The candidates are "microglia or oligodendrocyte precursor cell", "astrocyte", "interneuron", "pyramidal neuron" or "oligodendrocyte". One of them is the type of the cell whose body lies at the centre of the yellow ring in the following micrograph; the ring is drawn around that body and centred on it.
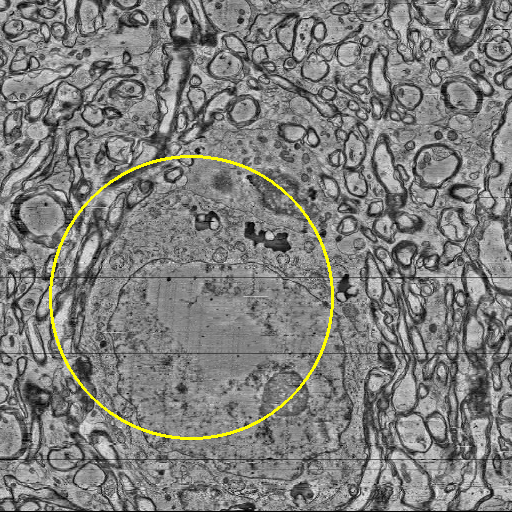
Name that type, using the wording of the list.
pyramidal neuron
